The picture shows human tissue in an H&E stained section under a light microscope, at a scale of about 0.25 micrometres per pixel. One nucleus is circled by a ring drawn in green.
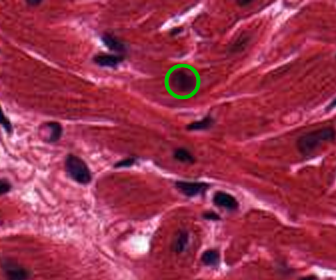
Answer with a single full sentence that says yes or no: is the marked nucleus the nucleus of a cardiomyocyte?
Yes, the nucleus that is marked belongs to a cardiomyocyte.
